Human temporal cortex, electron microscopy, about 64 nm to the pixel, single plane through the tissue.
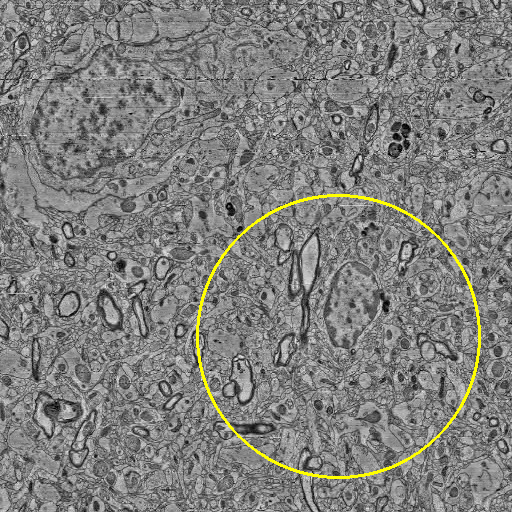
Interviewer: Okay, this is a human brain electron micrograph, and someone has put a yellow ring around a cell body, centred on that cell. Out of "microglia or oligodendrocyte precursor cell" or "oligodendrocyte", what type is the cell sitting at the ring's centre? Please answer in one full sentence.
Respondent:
The cell at the centre of the yellow ring in this picture is a microglial cell or oligodendrocyte precursor cell.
